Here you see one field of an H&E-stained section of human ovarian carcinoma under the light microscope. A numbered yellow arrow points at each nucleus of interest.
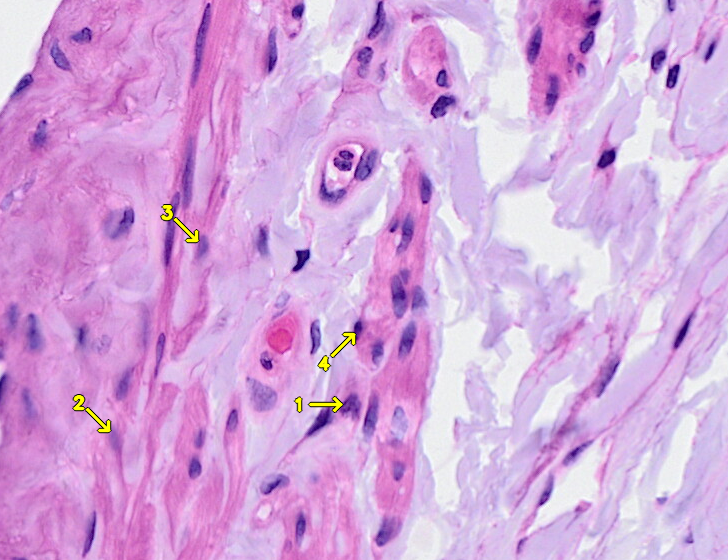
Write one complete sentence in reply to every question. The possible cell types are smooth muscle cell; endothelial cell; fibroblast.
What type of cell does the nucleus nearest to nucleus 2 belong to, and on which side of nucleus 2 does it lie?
It is a smooth muscle cell, whose nucleus lies above nucleus 2.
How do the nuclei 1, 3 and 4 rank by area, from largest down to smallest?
The nuclei rank 1, 3, 4, from largest to smallest.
